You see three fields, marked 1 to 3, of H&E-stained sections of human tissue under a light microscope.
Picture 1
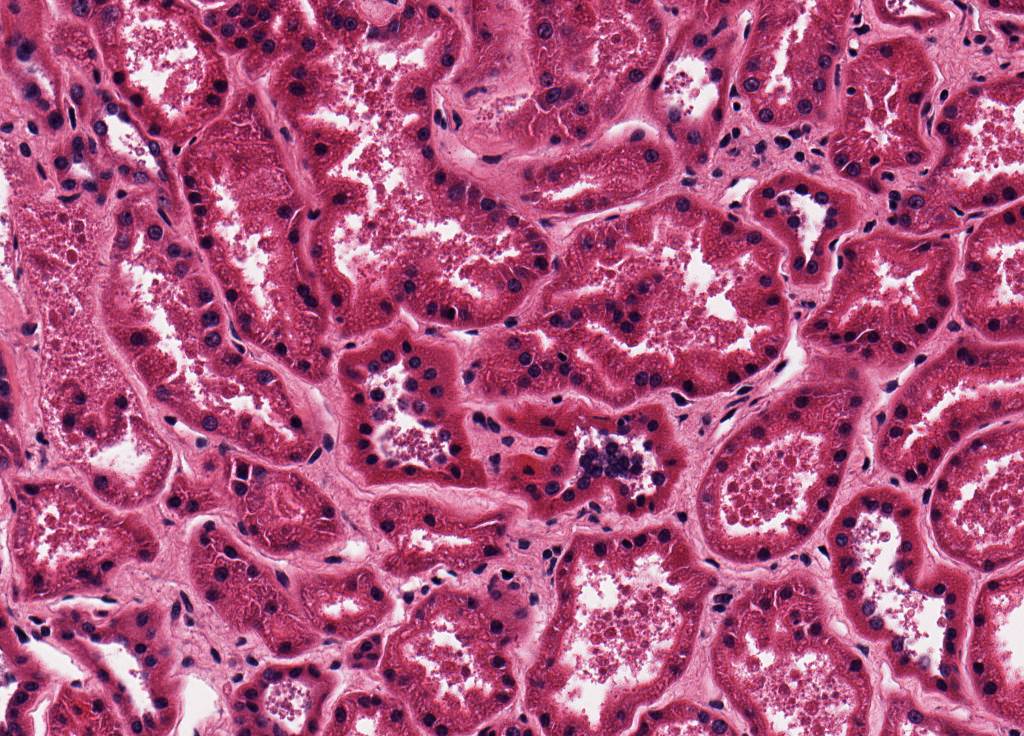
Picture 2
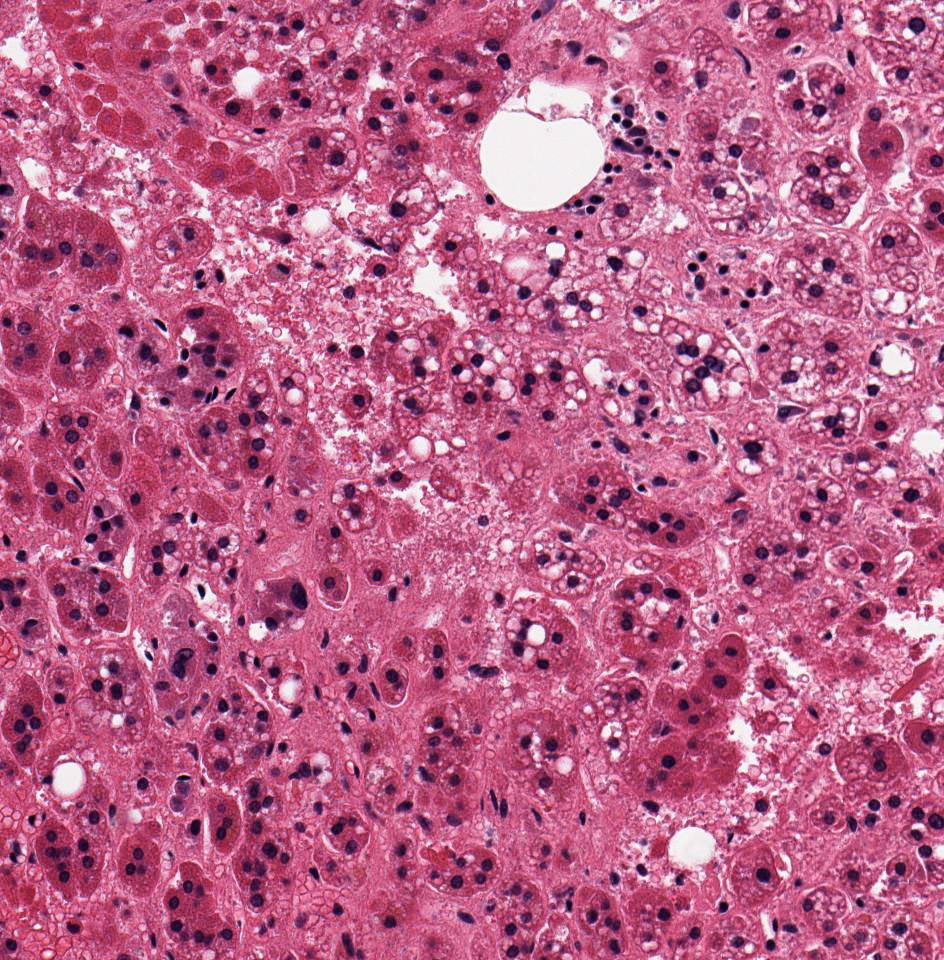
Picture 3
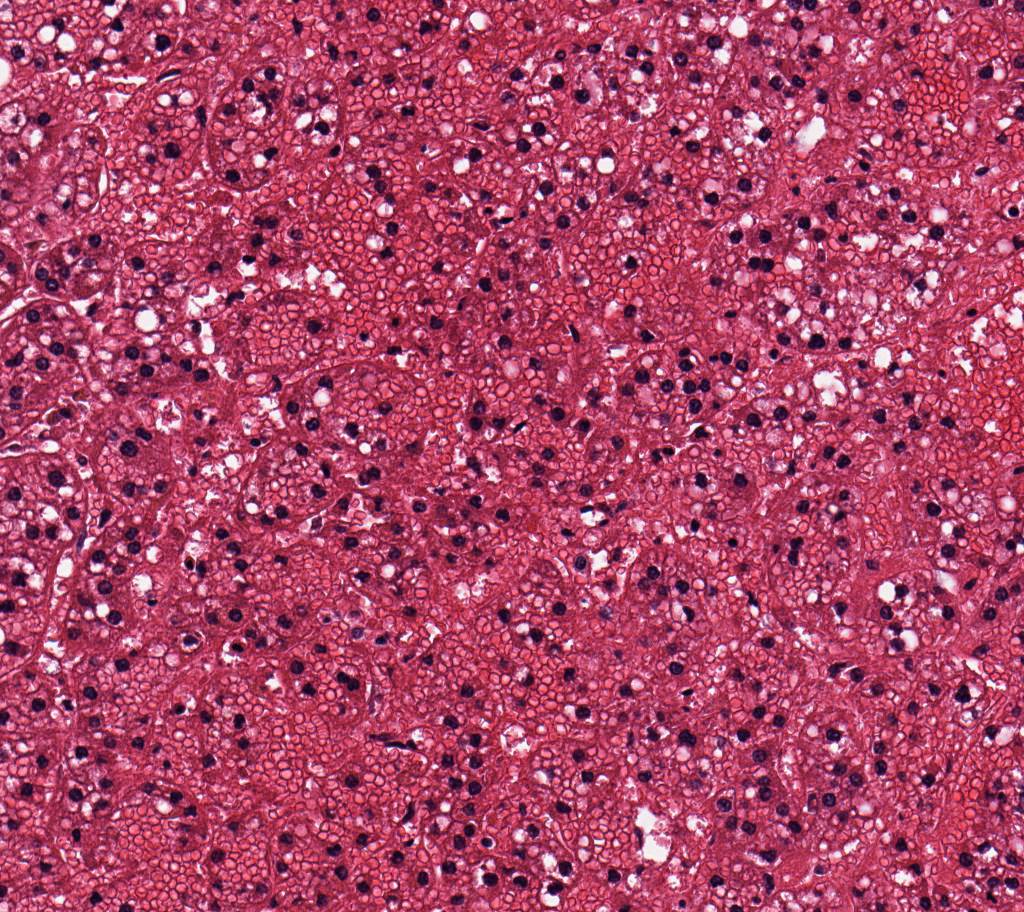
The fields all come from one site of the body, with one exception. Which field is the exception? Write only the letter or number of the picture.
1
